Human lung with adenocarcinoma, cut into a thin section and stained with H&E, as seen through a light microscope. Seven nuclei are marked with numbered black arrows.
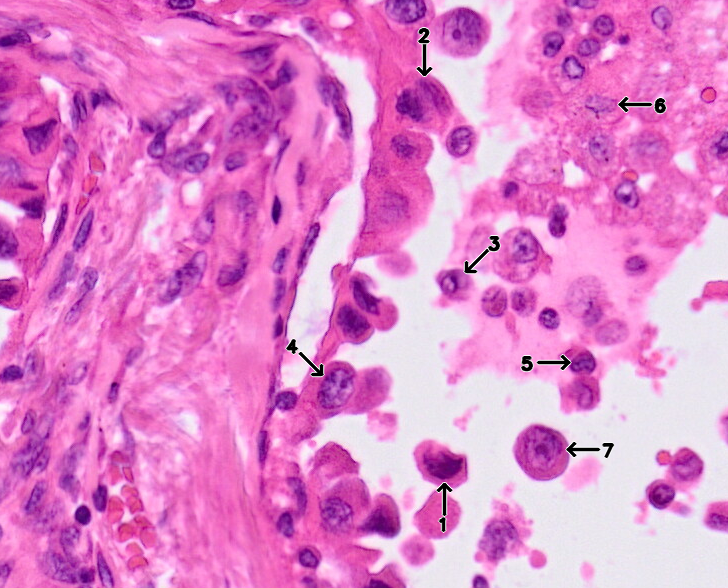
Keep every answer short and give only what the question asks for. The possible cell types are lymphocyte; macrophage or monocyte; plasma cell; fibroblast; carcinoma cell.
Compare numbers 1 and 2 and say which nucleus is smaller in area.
1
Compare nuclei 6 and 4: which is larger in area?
4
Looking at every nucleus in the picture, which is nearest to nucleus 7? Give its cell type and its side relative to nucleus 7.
a macrophage or monocyte above and to the right of nucleus 7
